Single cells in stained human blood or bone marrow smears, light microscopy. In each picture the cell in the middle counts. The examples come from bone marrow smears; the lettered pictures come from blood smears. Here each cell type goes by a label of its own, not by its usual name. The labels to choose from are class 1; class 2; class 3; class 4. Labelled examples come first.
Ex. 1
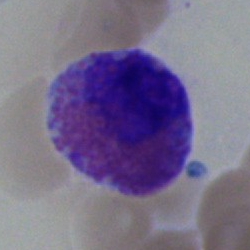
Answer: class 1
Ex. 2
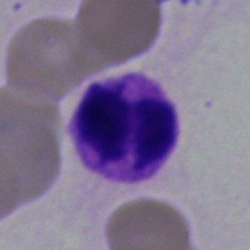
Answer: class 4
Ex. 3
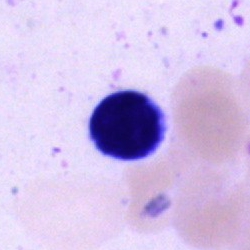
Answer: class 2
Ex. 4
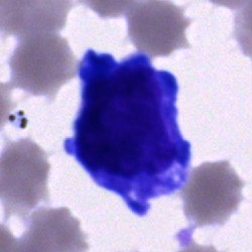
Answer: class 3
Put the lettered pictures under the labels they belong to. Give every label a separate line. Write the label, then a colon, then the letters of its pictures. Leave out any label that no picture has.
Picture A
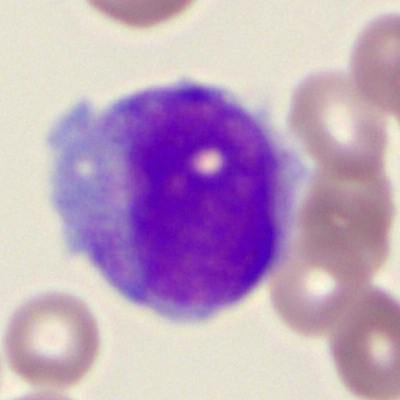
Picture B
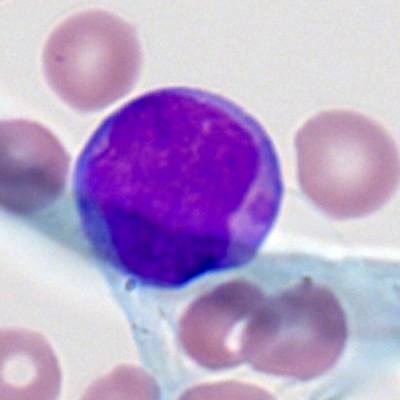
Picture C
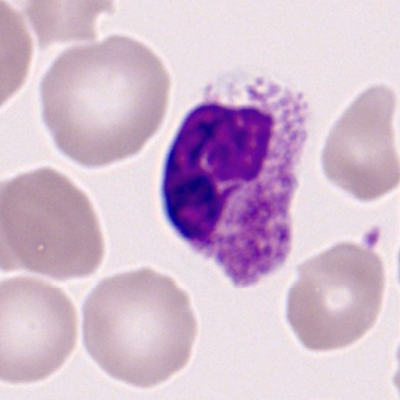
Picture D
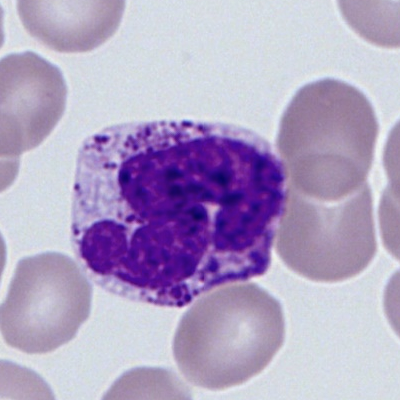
class 3: A, B
class 4: C, D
